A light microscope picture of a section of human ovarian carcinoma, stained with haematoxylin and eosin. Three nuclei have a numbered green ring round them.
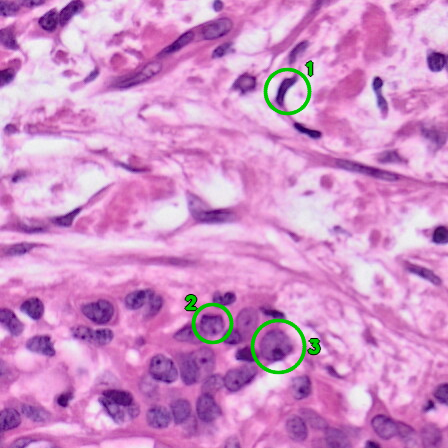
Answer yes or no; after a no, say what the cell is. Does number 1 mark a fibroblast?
Yes.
